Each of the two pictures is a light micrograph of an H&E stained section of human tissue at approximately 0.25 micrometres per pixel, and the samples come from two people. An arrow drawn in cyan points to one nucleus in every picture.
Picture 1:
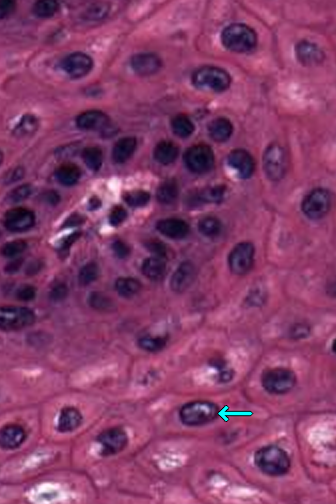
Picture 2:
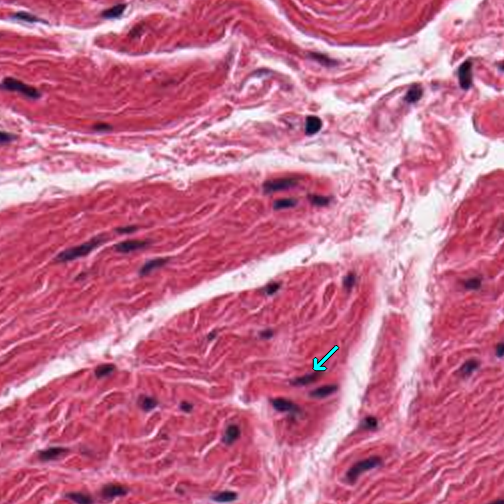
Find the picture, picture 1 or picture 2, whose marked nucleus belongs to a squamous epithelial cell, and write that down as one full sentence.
The marked nucleus seen in picture 1 is that of a squamous epithelial cell.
